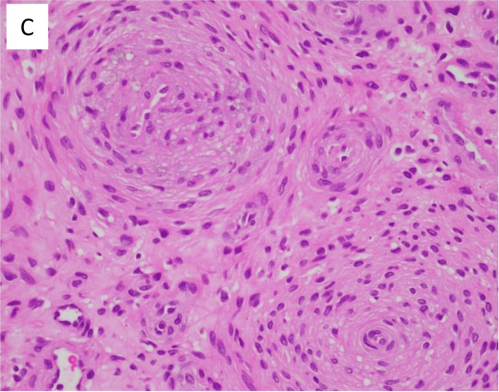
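Tumor tissue composed of smooth muscle-like plump spindle cells arranged in multilayered concentric whorls around small vessels. The spindle cells have oval to elongated purple nuclei and pale pink eosinophilic cytoplasm, wrapping in several layers around small central lumens. Between the whorls the cells run in looser bundles. The nuclei look fairly uniform, without striking atypia or mitotic figures.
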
